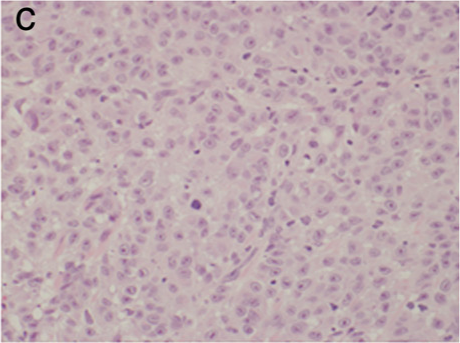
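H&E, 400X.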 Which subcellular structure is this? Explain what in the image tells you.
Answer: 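Many nuclei contain a distinct dark dot-like nucleolus. So: prominent nucleoli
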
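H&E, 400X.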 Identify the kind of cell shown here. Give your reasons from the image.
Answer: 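Large epithelioid cells. Sheets of large polygonal cells with ample pink cytoplasm. Round to oval nuclei vary in size and shape.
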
